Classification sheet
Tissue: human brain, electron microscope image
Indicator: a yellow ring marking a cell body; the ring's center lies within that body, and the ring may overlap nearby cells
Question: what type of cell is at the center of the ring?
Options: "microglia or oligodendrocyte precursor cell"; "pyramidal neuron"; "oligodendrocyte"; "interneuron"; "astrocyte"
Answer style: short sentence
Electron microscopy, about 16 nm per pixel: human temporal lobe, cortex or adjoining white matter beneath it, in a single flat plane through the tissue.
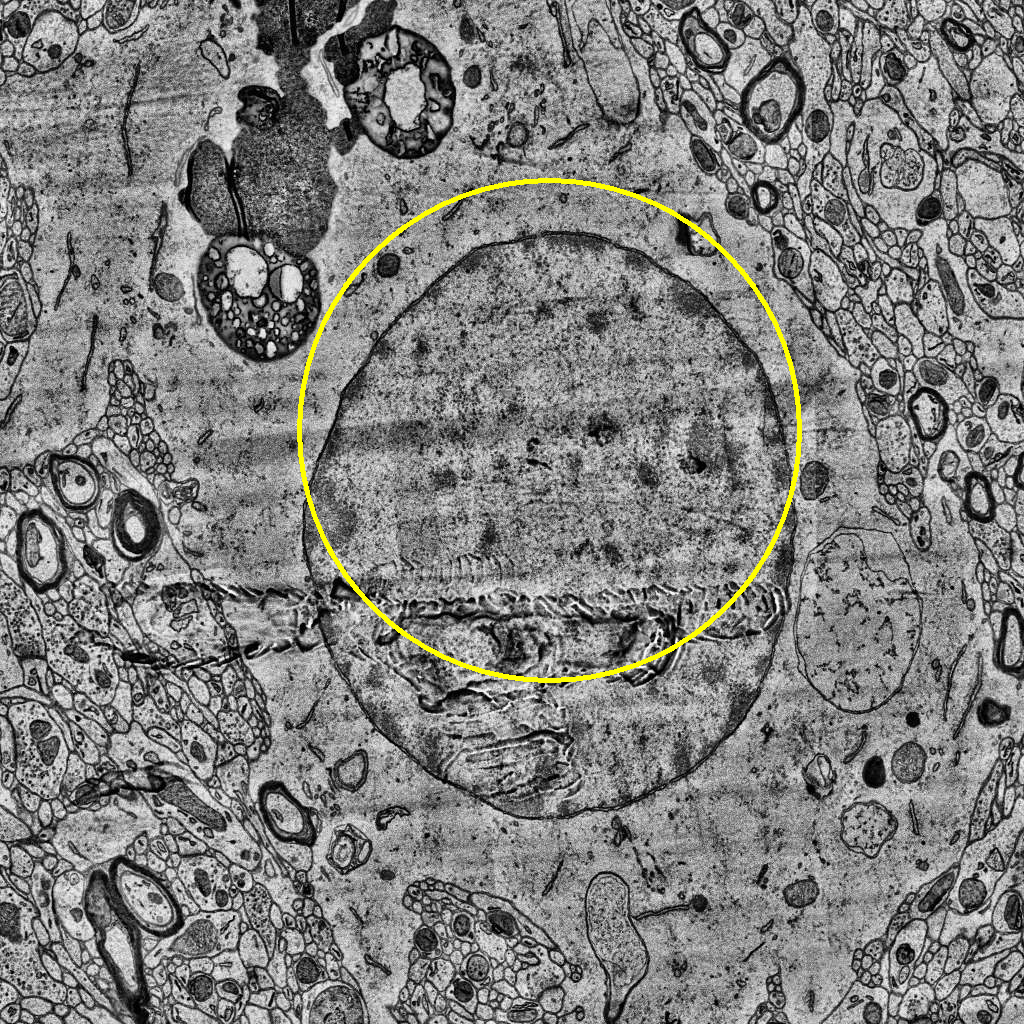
At the ring's center is an astrocyte.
